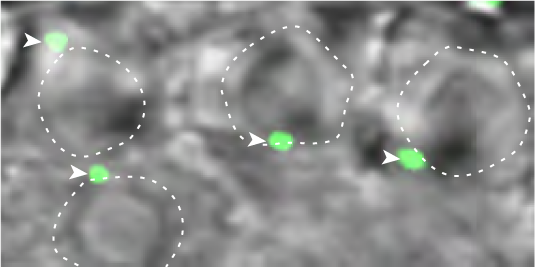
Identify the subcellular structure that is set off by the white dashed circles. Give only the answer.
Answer: nuclei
